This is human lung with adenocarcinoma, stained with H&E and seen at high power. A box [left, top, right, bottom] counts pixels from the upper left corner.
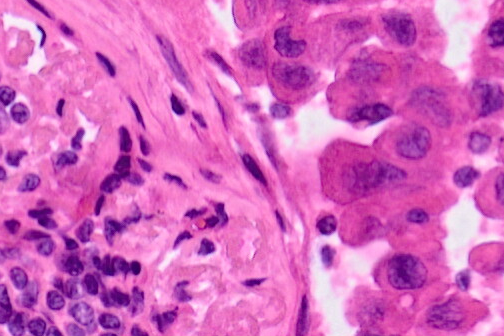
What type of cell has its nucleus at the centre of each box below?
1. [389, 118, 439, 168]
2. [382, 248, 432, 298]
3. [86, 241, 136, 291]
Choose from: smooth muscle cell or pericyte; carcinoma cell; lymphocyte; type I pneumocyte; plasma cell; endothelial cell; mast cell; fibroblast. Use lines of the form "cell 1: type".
cell 1: carcinoma cell
cell 2: carcinoma cell
cell 3: lymphocyte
